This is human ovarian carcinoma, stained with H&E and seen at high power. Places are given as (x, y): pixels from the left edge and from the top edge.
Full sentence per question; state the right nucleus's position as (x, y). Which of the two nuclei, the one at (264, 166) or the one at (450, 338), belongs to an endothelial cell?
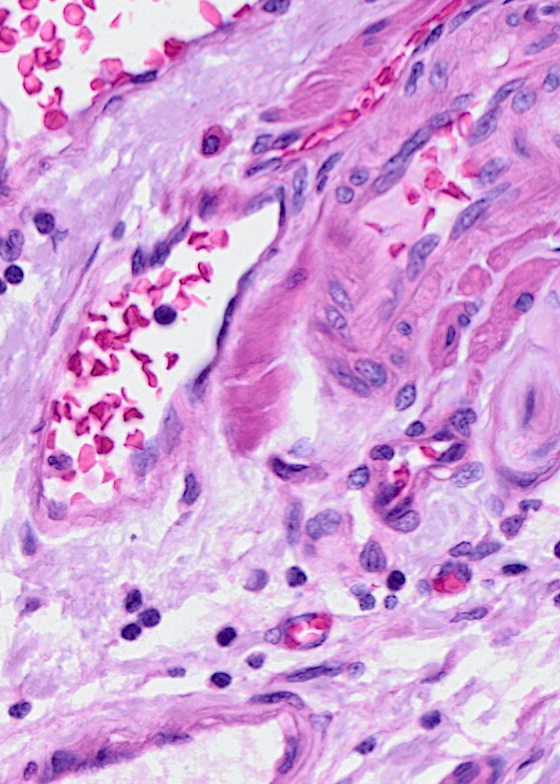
Here the nucleus at (264, 166) is the one that belongs to an endothelial cell.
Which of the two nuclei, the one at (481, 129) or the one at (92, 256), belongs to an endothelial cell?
Out of the two, it is the nucleus at (481, 129) that belongs to an endothelial cell.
